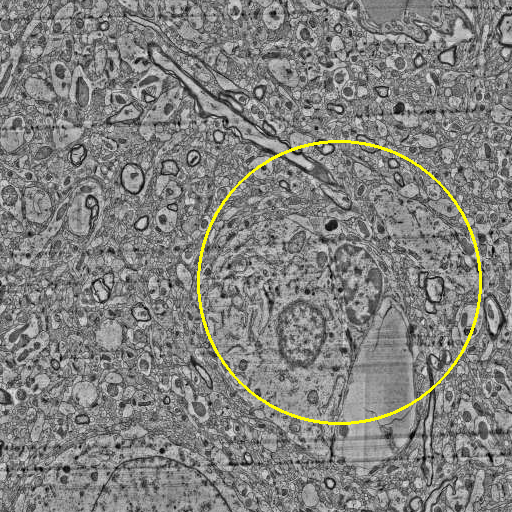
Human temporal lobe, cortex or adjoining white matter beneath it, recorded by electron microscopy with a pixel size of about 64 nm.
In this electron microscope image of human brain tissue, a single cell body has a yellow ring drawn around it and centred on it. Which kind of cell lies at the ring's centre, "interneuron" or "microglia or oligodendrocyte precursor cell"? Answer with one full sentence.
It is a microglial cell or oligodendrocyte precursor cell whose cell body lies at the centre of the yellow ring here.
